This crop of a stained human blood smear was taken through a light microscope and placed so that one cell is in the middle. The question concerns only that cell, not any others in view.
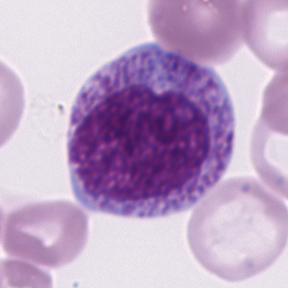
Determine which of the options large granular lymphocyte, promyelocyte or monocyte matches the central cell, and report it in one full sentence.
The centrally located cell in the crop is a promyelocyte.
